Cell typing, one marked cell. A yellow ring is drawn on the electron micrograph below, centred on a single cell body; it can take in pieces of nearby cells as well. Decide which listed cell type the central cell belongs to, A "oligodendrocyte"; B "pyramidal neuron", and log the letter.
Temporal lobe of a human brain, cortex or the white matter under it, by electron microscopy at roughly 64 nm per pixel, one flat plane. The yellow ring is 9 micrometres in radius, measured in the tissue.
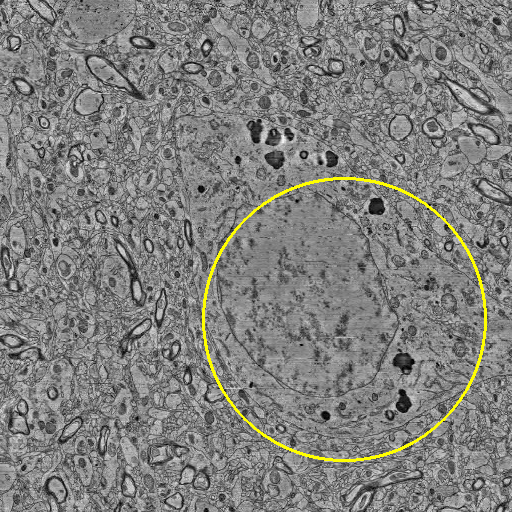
B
